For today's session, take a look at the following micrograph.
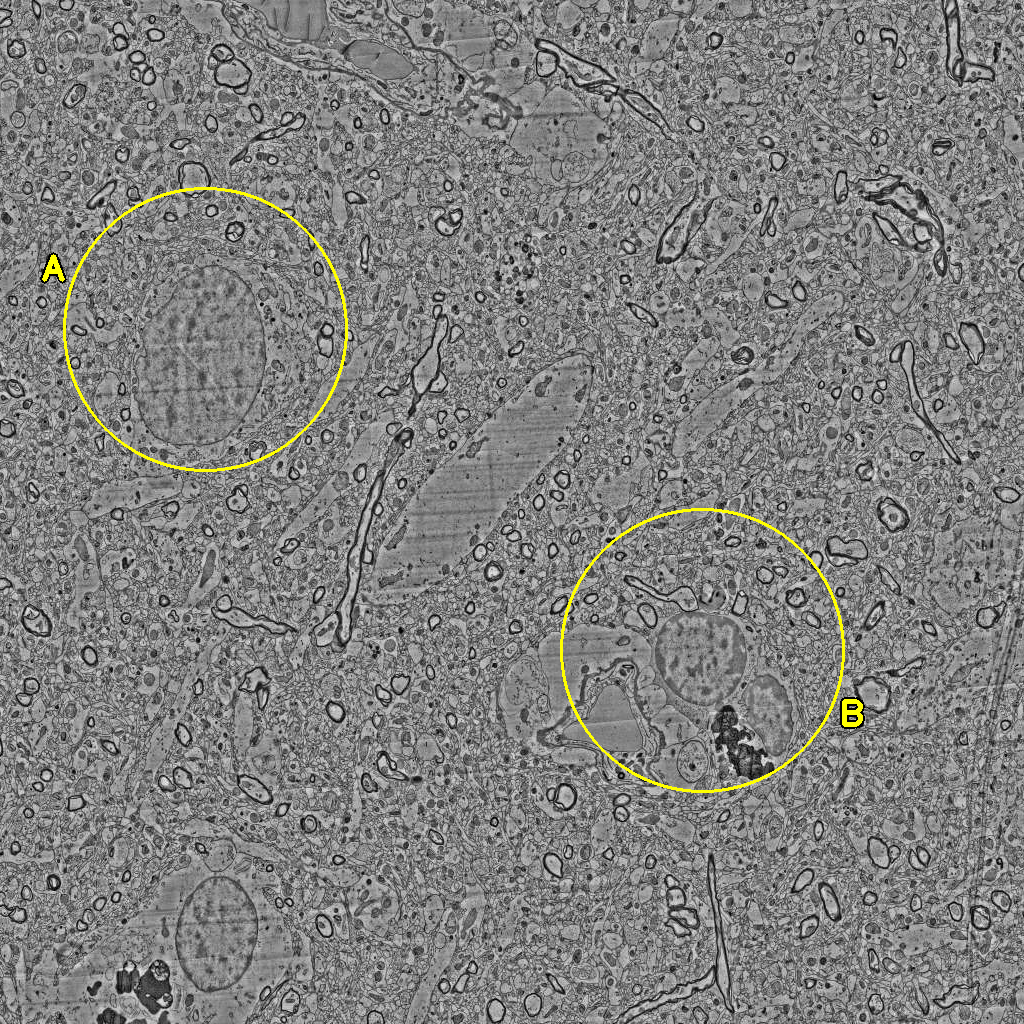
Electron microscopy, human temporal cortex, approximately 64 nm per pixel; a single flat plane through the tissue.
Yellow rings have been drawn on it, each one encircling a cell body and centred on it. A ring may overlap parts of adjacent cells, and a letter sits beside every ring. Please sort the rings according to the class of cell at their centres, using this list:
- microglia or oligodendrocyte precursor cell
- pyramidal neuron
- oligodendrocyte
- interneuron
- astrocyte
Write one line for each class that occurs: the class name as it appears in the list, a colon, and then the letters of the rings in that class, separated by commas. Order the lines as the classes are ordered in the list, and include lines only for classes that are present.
oligodendrocyte: B
interneuron: A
